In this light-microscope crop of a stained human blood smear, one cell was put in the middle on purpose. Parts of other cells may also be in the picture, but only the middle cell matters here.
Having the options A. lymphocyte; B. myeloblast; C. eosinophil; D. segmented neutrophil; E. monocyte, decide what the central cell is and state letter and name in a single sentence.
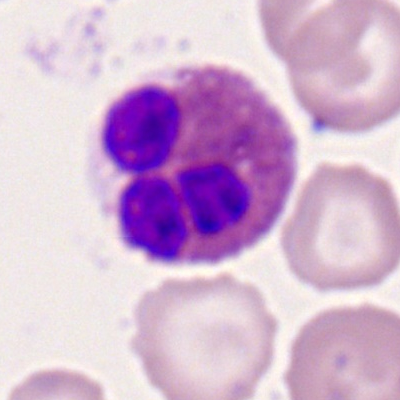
The central cell in this crop is an eosinophil, corresponding to option C, the correct option.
